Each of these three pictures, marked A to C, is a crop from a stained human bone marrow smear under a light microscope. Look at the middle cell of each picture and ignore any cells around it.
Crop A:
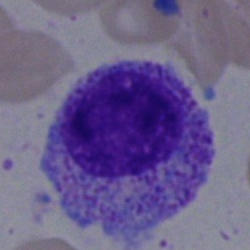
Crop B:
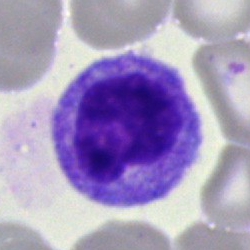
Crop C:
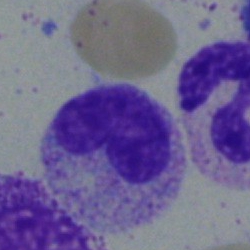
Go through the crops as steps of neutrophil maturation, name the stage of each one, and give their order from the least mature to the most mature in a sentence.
By increasing maturity, the order is crop A (a myelocyte), crop B (a metamyelocyte) and crop C (a band neutrophil).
